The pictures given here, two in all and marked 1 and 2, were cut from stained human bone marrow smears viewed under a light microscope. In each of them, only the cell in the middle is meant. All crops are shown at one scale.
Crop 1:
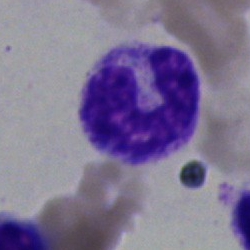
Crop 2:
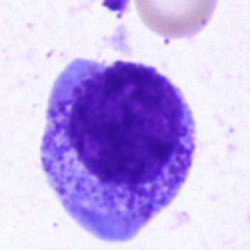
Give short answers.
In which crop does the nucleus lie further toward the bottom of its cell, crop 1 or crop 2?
1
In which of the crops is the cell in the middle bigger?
2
